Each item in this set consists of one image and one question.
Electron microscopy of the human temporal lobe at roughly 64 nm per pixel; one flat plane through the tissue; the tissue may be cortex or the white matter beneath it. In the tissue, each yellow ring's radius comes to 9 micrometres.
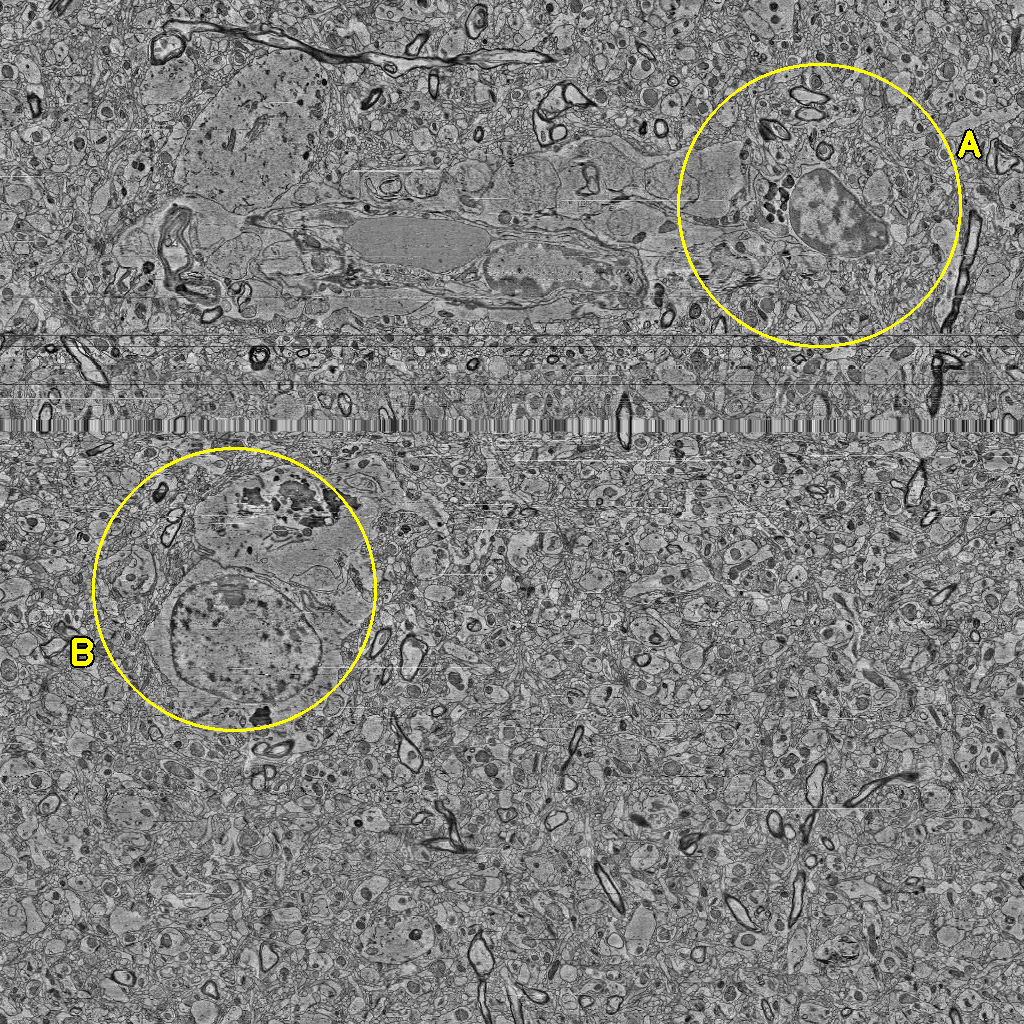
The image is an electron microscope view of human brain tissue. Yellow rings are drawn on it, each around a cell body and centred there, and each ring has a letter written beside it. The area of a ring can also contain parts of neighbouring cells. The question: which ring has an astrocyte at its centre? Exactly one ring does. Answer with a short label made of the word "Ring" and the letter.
Ring B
